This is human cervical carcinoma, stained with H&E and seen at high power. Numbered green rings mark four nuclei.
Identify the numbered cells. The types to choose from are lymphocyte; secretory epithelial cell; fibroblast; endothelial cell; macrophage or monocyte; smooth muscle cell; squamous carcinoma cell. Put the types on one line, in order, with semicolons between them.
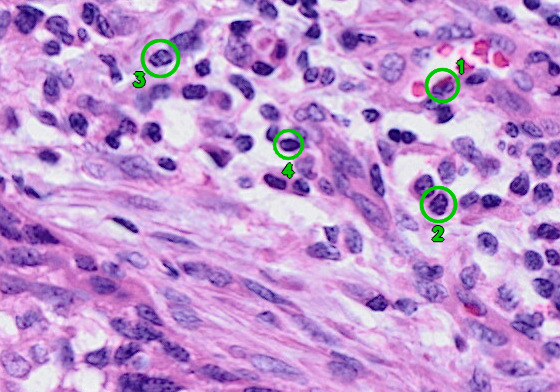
endothelial cell; lymphocyte; lymphocyte; lymphocyte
